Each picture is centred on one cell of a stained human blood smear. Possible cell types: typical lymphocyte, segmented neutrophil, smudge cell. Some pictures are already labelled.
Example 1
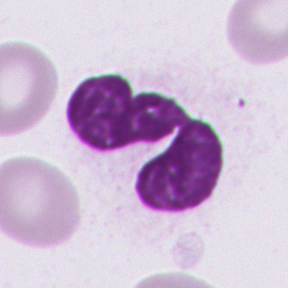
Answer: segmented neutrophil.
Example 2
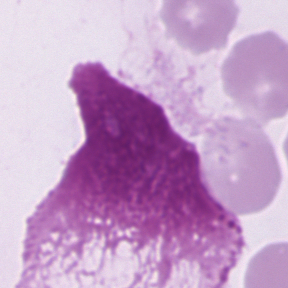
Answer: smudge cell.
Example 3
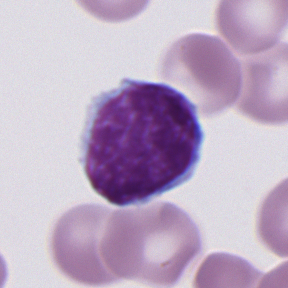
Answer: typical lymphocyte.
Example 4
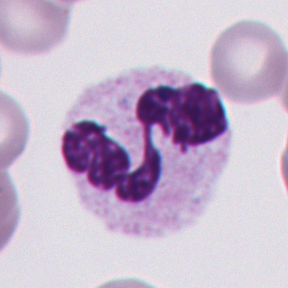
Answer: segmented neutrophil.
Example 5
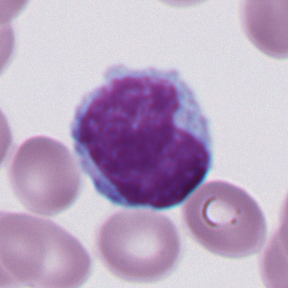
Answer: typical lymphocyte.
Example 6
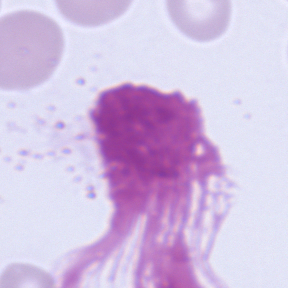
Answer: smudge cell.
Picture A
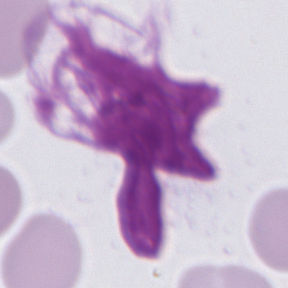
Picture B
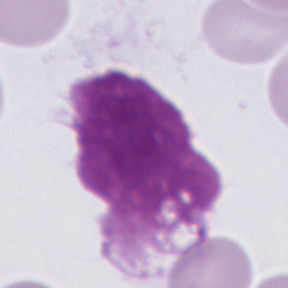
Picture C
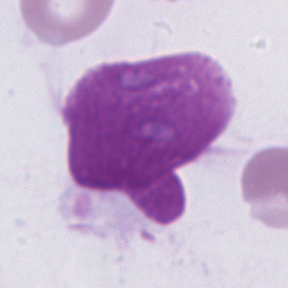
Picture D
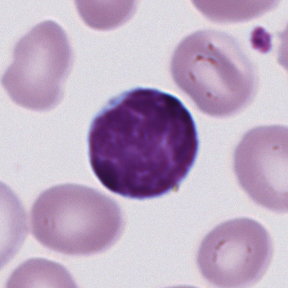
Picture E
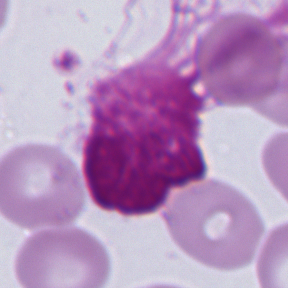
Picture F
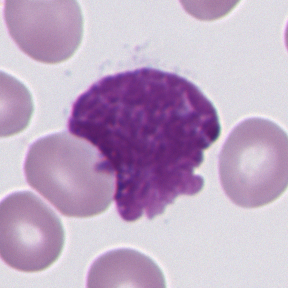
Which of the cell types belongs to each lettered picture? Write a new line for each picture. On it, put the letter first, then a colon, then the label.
A: smudge cell.
B: smudge cell.
C: smudge cell.
D: typical lymphocyte.
E: smudge cell.
F: smudge cell.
